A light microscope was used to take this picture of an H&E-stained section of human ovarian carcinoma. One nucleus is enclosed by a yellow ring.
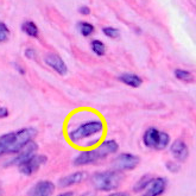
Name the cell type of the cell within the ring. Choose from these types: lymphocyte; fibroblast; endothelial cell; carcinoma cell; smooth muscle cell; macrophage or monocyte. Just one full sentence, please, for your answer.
The cell type represented by the cell within the ring is that of a smooth muscle cell.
